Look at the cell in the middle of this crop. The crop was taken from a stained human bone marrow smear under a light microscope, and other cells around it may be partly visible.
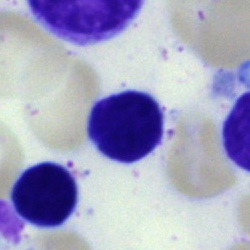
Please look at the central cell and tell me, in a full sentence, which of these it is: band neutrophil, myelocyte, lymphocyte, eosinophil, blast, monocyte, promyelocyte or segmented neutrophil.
The cell that lies at the centre of the crop is a lymphocyte.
